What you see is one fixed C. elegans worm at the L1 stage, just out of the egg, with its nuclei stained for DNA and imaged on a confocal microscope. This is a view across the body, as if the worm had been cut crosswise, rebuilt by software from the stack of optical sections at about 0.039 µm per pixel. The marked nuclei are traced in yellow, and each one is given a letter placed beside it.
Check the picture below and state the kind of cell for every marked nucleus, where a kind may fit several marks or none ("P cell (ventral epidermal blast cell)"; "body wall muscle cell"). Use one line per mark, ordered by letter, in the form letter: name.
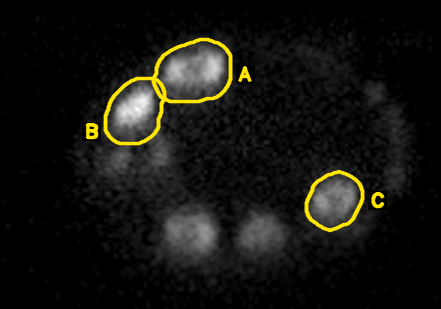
A: P cell (ventral epidermal blast cell)
B: body wall muscle cell
C: body wall muscle cell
